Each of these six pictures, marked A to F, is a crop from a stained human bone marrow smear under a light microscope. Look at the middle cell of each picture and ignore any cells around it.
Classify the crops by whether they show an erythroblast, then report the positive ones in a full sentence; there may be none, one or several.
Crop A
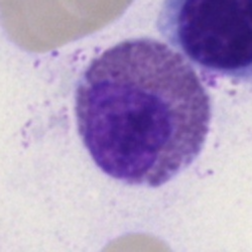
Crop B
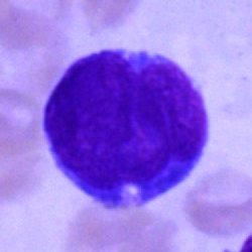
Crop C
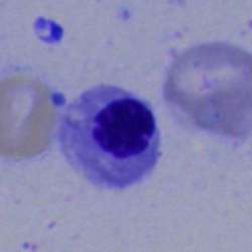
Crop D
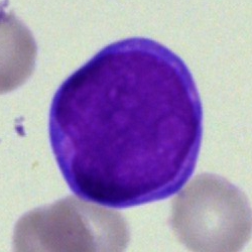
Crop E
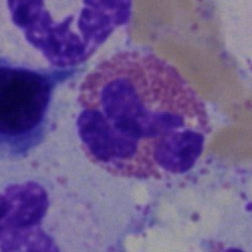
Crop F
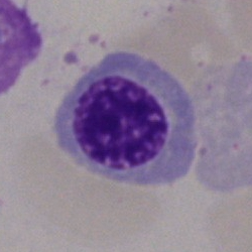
In the centres of crops C and F lie erythroblasts.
